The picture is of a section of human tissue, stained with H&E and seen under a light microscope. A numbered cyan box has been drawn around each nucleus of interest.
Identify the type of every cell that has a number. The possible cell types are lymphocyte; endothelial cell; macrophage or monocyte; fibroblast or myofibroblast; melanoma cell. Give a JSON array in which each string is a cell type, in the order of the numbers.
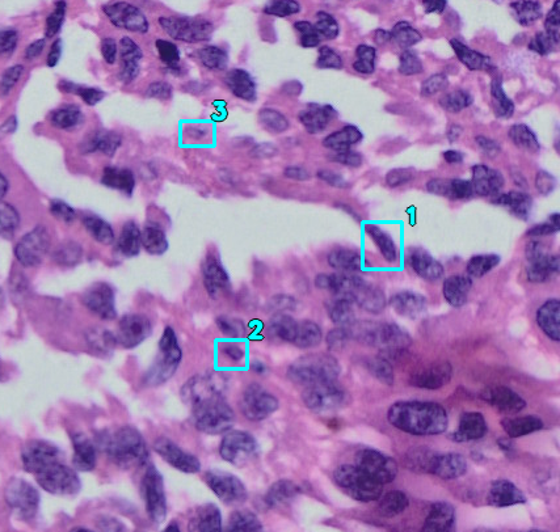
["melanoma cell", "macrophage or monocyte", "melanoma cell"]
